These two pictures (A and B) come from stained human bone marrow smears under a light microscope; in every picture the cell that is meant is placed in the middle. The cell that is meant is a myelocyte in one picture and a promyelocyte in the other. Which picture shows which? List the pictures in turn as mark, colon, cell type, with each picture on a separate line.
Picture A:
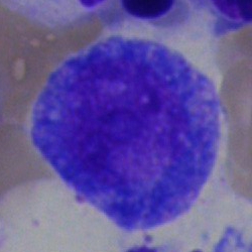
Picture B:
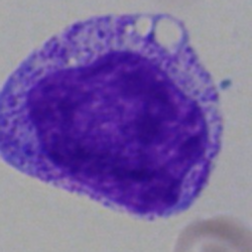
A: promyelocyte
B: myelocyte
